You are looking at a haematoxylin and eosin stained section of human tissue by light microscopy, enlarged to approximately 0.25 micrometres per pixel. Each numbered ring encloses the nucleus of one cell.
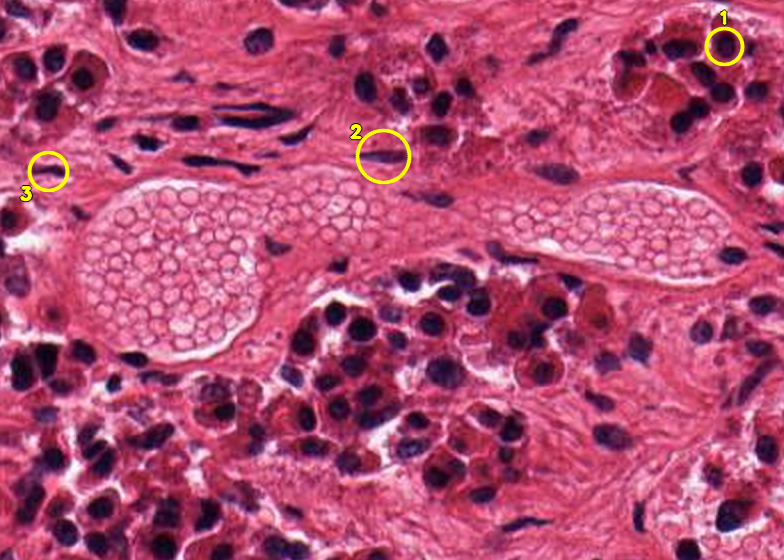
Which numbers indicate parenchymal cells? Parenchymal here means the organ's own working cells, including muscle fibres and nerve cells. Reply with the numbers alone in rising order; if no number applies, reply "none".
1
